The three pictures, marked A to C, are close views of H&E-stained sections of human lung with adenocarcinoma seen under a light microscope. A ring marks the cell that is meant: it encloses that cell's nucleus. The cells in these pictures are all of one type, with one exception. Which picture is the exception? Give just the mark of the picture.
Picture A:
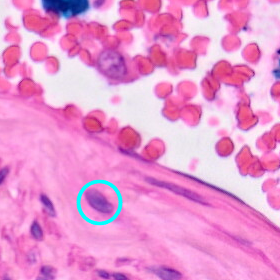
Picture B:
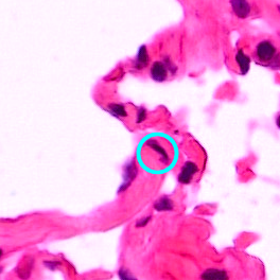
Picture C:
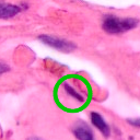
A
